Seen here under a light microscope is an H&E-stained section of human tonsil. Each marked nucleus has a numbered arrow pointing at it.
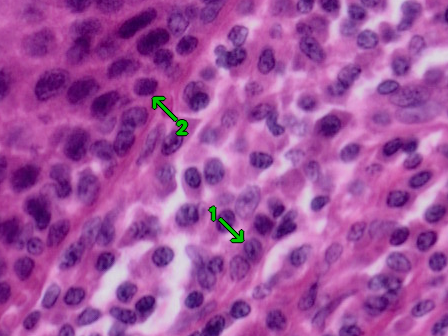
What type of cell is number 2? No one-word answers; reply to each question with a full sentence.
The cell identified by number 2 is a squamous epithelial cell.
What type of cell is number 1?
The cell with the number 1 is a plasma cell.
